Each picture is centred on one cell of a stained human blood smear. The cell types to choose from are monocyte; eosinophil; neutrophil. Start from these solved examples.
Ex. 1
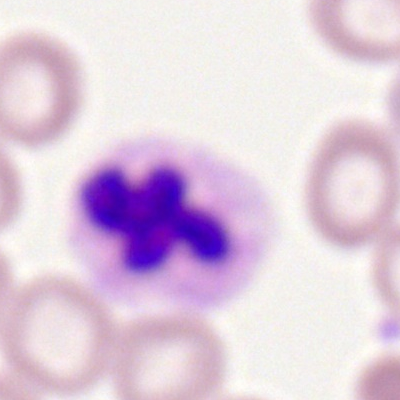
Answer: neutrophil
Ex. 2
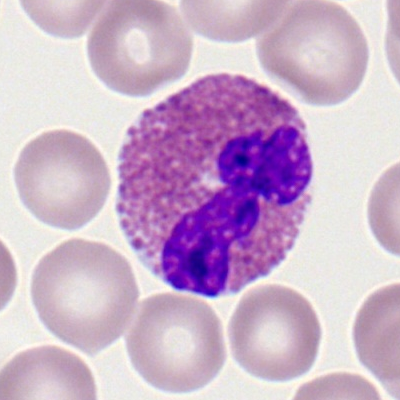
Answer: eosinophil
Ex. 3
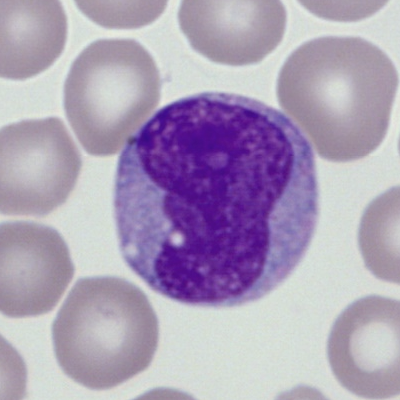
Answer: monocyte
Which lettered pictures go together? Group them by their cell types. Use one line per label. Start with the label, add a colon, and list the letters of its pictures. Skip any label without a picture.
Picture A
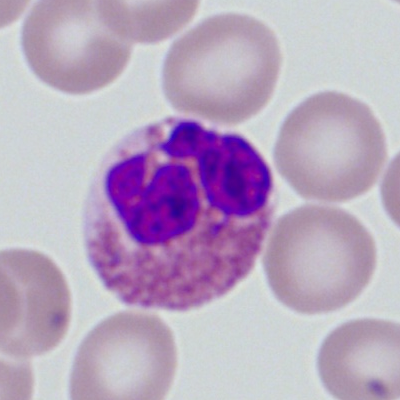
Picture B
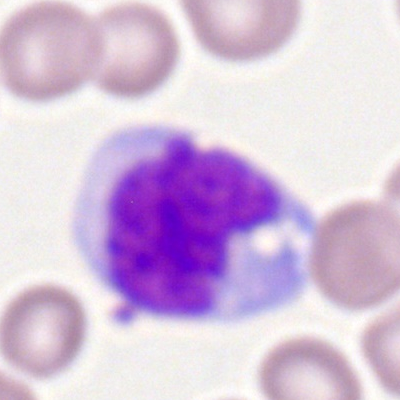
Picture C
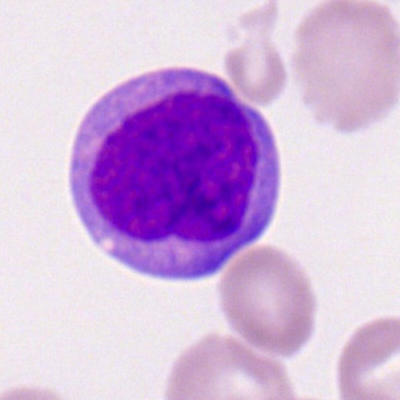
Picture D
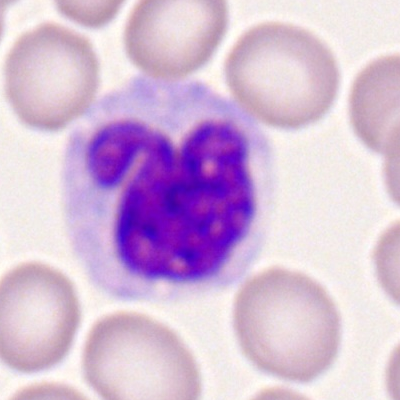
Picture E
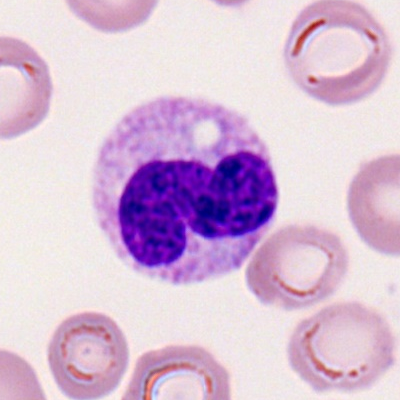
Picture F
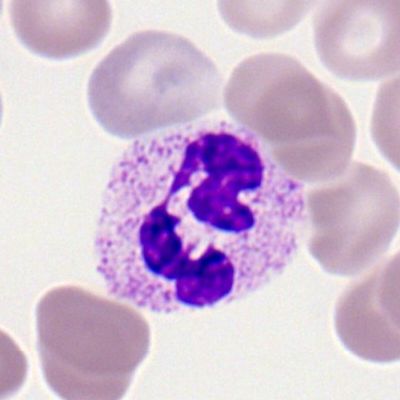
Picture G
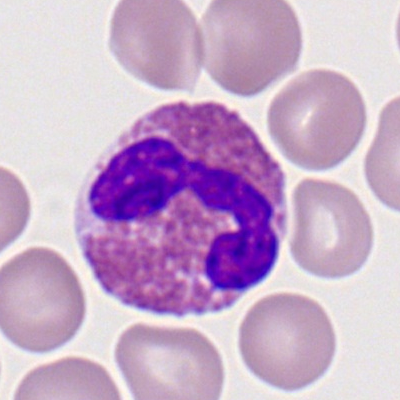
monocyte: B, C, D
eosinophil: A, G
neutrophil: E, F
